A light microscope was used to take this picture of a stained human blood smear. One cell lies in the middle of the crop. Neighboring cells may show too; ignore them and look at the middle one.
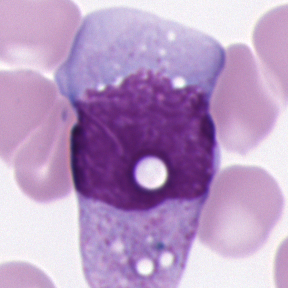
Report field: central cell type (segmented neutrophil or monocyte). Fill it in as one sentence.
The cell sitting right in the middle is a monocyte.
